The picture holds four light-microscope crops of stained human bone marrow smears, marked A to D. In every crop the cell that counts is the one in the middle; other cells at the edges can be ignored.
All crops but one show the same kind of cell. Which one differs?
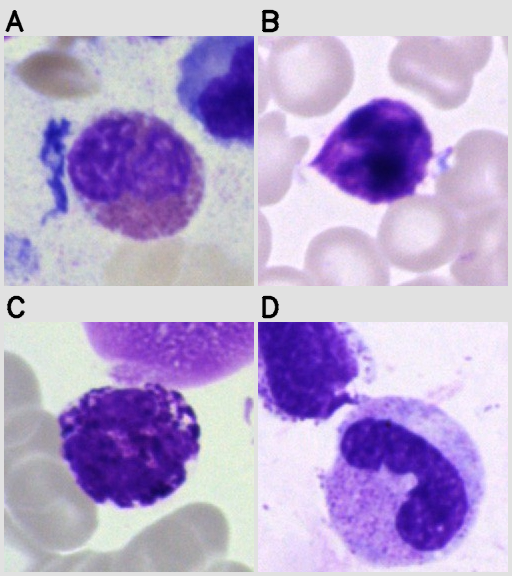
D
